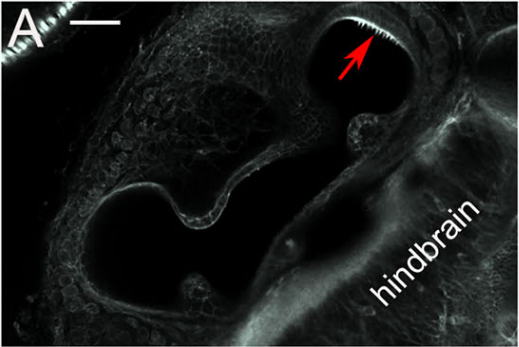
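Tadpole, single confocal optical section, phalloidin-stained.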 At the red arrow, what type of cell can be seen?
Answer: Hair cells.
